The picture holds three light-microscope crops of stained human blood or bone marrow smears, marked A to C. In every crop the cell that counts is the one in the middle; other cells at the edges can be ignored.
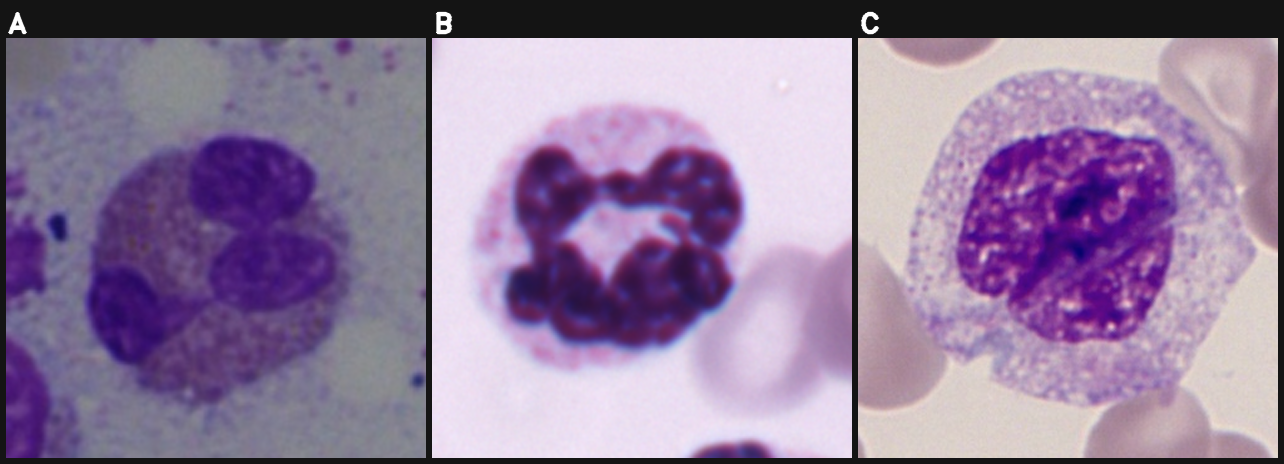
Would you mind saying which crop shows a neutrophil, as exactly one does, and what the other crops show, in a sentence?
On the one hand crop B shows a neutrophil; on the other, crop A is an eosinophil and crop C is a monocyte.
